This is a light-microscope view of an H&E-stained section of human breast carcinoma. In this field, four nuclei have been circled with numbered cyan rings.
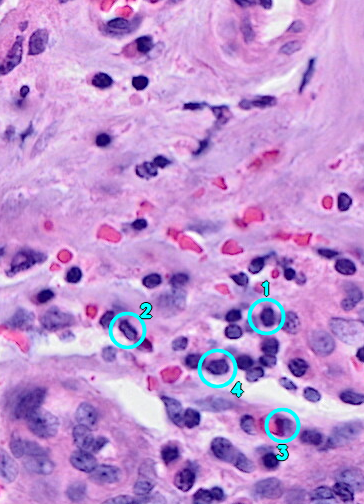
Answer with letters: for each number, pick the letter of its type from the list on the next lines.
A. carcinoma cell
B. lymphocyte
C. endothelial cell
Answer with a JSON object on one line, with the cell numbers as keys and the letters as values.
{"1": "B", "2": "B", "3": "C", "4": "B"}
